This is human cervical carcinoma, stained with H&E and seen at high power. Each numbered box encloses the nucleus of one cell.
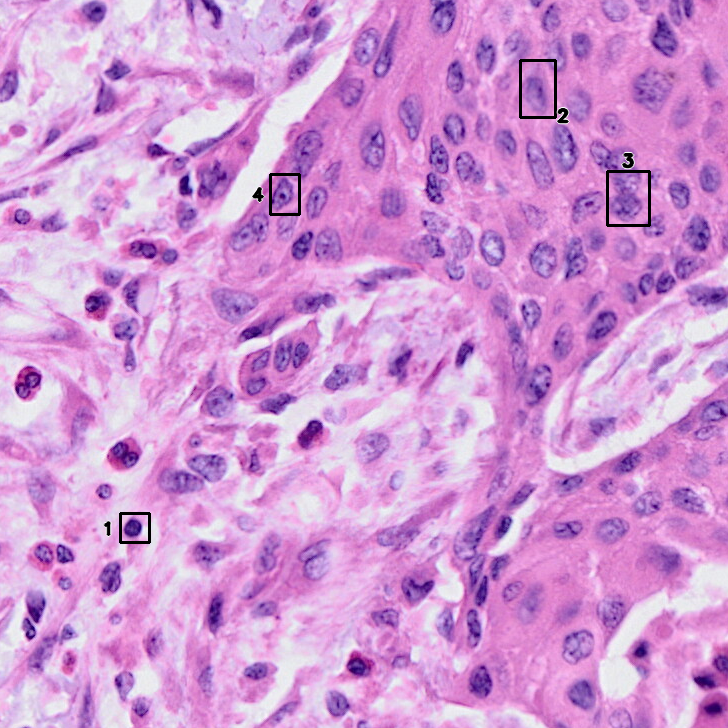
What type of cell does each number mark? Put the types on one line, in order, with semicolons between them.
lymphocyte; squamous carcinoma cell; squamous carcinoma cell; squamous carcinoma cell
